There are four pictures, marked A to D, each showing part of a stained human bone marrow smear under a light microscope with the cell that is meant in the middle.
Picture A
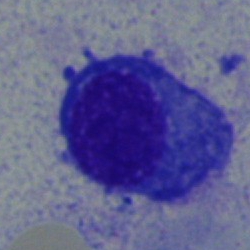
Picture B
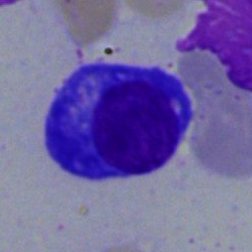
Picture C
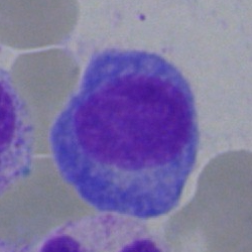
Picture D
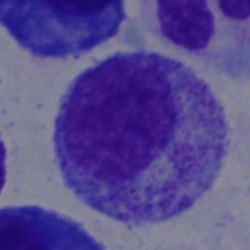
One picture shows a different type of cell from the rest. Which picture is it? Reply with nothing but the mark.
D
